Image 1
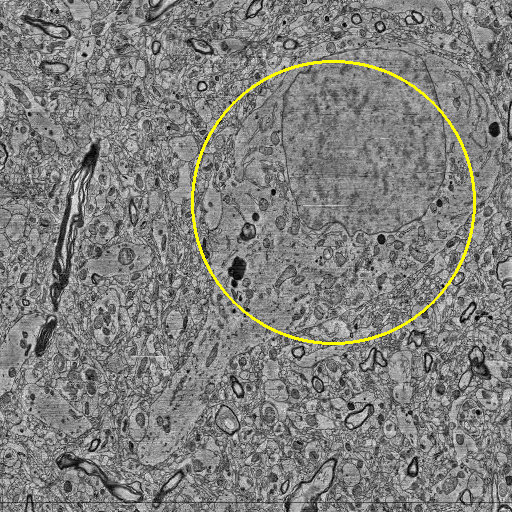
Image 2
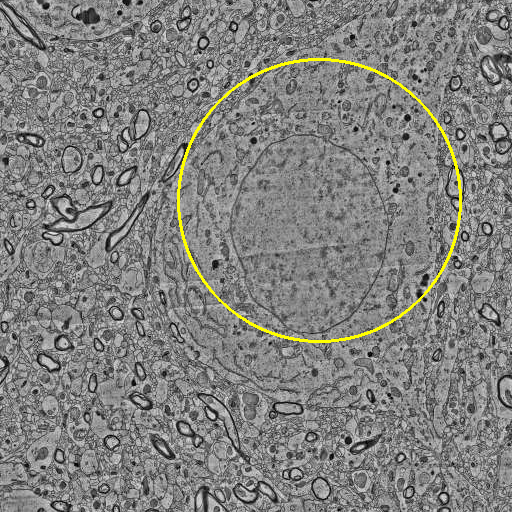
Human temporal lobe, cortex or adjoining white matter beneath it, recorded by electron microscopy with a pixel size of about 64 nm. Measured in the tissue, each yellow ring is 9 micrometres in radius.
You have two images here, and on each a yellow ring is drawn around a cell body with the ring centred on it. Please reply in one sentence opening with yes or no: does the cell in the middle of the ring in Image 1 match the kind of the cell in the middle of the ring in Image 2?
Yes, the two images show cells of one kind at the centres of their rings.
